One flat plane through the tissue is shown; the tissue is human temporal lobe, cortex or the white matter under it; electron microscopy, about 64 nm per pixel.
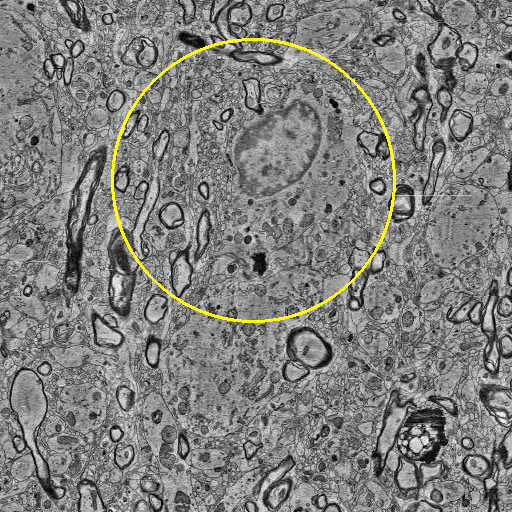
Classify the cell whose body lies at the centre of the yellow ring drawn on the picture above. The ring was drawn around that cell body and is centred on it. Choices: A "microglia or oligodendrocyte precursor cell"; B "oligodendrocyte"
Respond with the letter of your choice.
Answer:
B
